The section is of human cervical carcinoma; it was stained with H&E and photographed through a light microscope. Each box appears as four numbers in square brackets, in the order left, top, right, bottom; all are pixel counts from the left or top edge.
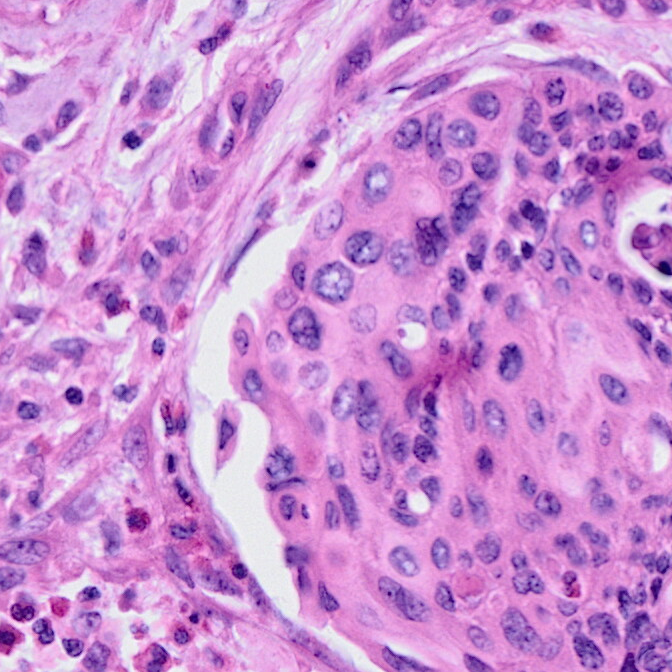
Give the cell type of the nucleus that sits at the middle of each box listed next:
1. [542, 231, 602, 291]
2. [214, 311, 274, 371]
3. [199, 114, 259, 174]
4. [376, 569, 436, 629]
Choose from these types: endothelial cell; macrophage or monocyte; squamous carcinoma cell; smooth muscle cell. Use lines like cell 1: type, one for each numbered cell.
cell 1: squamous carcinoma cell
cell 2: squamous carcinoma cell
cell 3: endothelial cell
cell 4: squamous carcinoma cell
